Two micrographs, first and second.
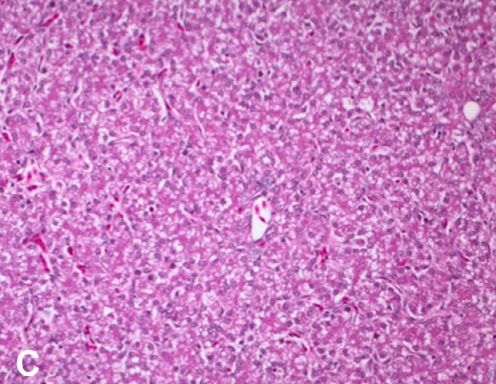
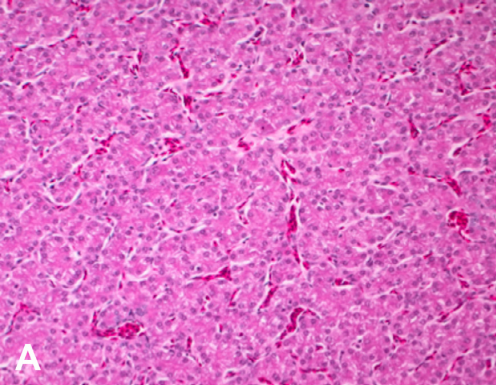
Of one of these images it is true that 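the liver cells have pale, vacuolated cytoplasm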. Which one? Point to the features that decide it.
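First image: liver cells are pale with many small clear vacuoles. Second image: liver cells have uniform, solid pink cytoplasm.
Conclusion: the first image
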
